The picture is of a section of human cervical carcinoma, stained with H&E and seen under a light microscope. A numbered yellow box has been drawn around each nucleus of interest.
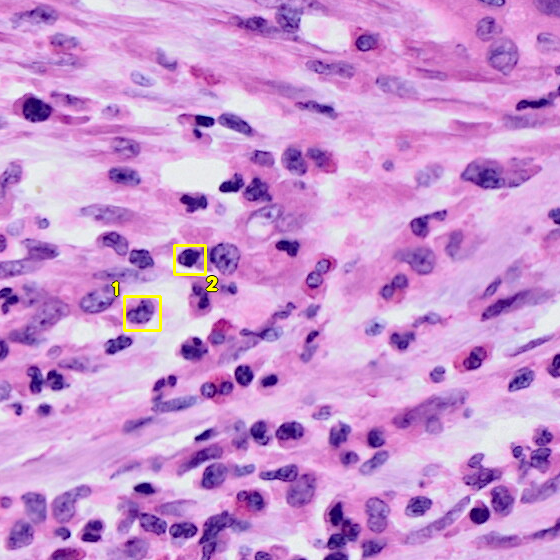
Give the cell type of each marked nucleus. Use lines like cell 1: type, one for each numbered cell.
cell 1: macrophage or monocyte
cell 2: lymphocyte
